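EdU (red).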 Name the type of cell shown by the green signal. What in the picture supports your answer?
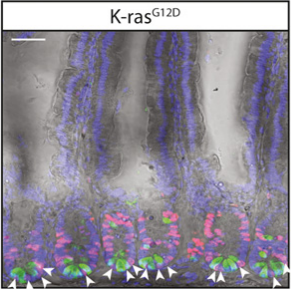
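Green granular cells cluster at the bottoms of the crypts. Red-nucleated cells lie above and between them.
Hence: Paneth cells.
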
